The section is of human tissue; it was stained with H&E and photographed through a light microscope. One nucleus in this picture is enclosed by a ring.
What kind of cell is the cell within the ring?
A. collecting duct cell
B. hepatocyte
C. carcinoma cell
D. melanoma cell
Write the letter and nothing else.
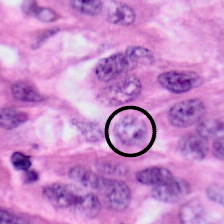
D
